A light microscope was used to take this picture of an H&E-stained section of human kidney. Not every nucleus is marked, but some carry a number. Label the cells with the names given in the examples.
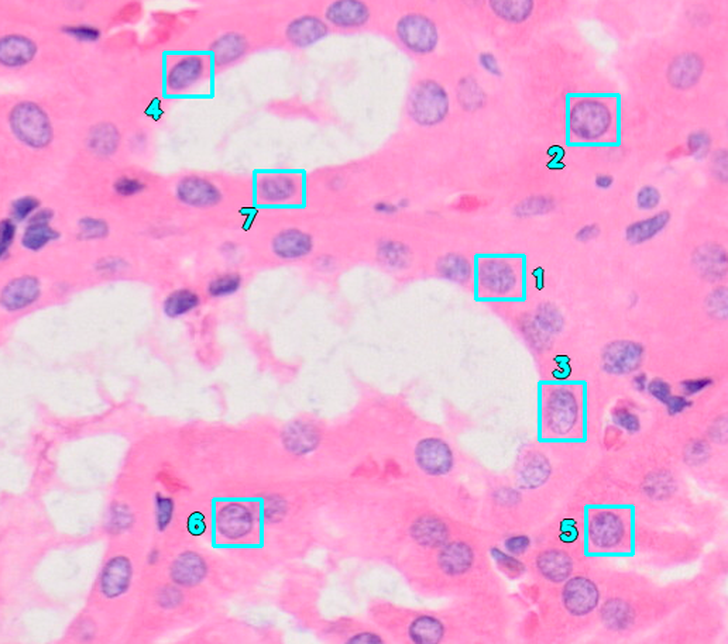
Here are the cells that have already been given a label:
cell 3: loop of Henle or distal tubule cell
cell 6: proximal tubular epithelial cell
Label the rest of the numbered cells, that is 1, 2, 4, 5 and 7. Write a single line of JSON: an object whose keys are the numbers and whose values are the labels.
{"1": "loop of Henle or distal tubule cell", "2": "proximal tubular epithelial cell", "4": "loop of Henle or distal tubule cell", "5": "proximal tubular epithelial cell", "7": "loop of Henle or distal tubule cell"}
